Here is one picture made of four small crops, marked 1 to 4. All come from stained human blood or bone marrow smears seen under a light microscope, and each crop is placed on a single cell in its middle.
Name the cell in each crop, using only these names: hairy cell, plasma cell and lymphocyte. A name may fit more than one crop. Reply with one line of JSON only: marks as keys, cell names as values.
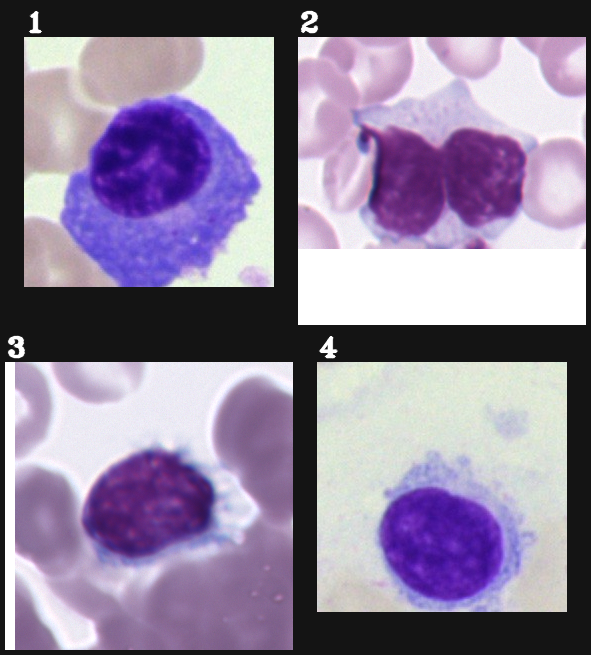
{"1": "plasma cell", "2": "lymphocyte", "3": "hairy cell", "4": "hairy cell"}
